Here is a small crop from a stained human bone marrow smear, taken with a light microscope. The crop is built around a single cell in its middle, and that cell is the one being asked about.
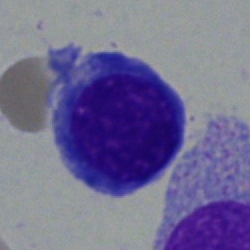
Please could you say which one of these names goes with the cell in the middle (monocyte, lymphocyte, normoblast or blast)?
normoblast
